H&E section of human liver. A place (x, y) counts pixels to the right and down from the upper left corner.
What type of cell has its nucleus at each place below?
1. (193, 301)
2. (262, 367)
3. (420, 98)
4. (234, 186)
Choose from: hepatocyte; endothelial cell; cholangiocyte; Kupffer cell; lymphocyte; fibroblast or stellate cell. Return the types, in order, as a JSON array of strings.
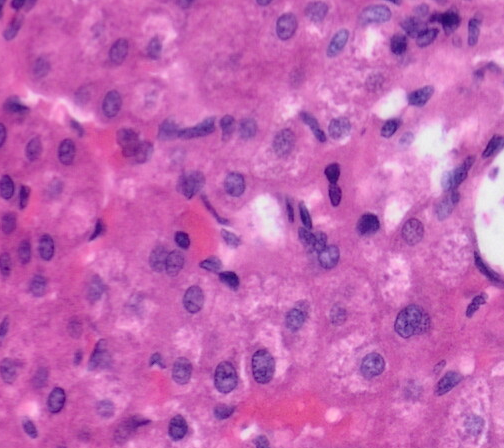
["hepatocyte", "hepatocyte", "fibroblast or stellate cell", "hepatocyte"]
